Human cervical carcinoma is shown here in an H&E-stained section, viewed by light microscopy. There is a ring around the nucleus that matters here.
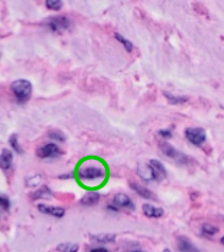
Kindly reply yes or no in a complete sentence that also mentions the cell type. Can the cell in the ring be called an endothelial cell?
Yes, the description of the cell in the ring as an endothelial cell is accurate.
